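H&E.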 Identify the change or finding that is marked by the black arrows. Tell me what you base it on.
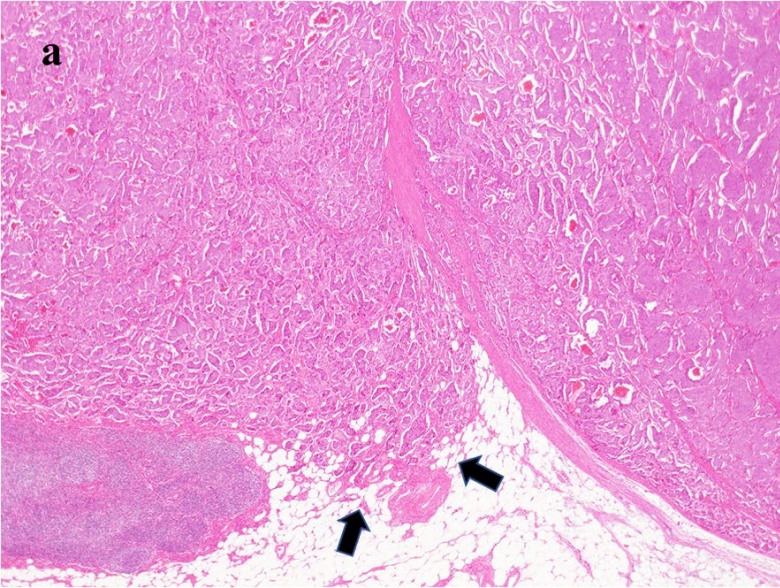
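The arrows point to where the pink cellular mass meets pale, empty-looking fat. Small groups of cells lie among the fat cells at the edge of the mass. The answer: infiltrate the surrounding adipose tissue.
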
